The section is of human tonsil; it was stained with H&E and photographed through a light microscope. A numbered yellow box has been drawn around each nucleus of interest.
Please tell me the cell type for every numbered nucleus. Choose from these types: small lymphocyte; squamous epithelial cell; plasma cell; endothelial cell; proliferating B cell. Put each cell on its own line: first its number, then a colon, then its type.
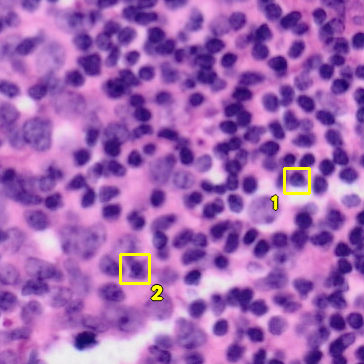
1: small lymphocyte
2: proliferating B cell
